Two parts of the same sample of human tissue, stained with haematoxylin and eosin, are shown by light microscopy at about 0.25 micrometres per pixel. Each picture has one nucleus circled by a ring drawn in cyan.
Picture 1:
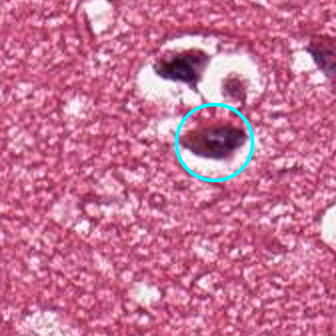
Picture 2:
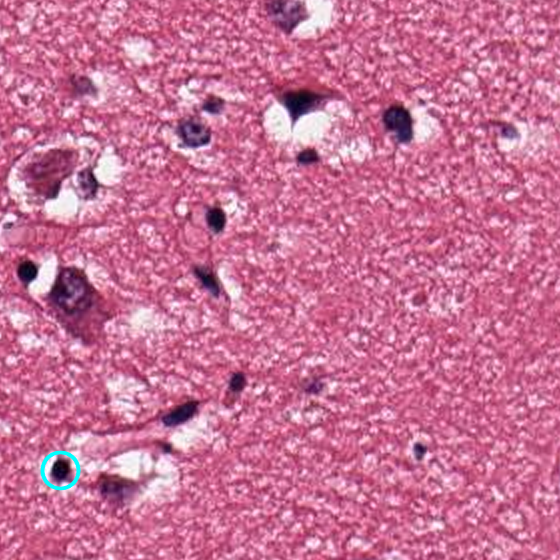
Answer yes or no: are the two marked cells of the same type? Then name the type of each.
No, the first is a neuron and the second an oligodendrocyte.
